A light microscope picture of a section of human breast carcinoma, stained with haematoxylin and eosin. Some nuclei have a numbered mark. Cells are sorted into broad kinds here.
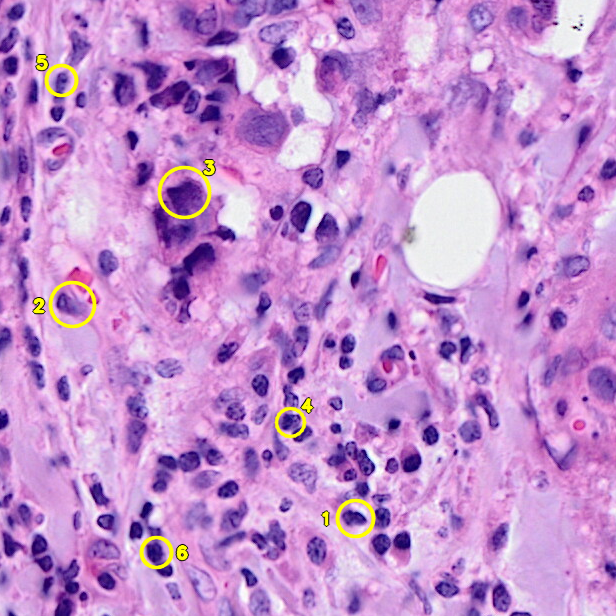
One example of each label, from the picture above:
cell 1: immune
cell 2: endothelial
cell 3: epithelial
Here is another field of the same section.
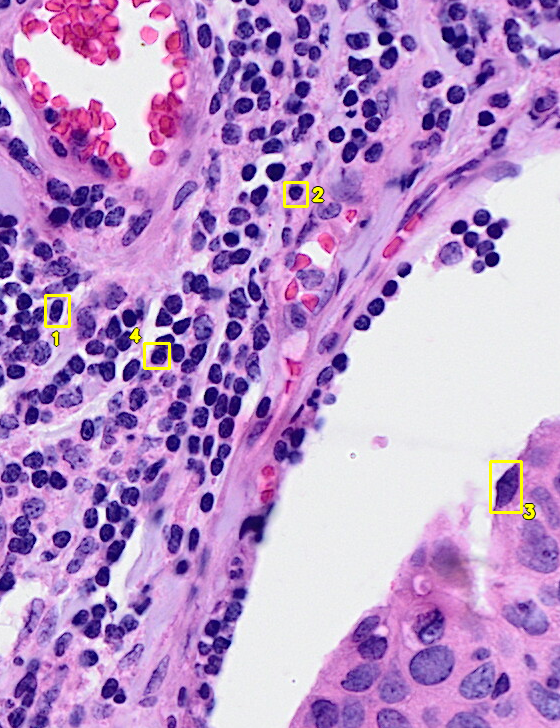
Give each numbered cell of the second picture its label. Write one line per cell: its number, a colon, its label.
1: immune
2: immune
3: epithelial
4: immune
